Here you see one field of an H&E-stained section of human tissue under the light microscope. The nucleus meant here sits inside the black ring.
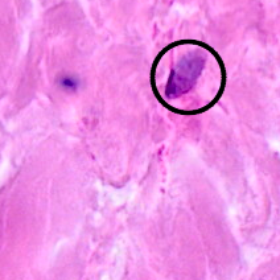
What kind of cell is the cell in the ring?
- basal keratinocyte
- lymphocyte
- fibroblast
fibroblast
